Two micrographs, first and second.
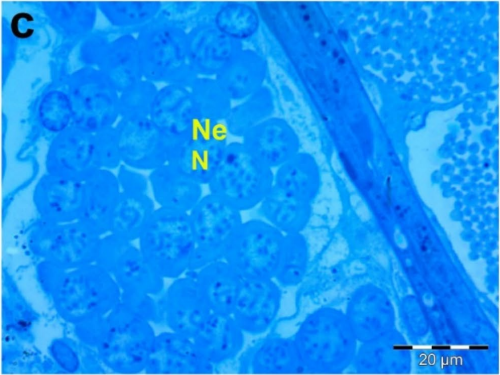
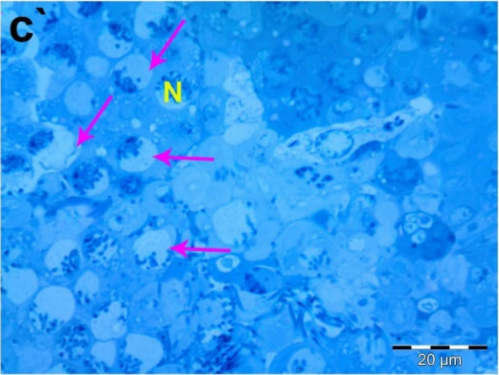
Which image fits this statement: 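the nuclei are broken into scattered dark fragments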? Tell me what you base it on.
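The second image. Second image: many cells hold several separate dark chromatin clumps in pale cytoplasm. First image: the cells have round, intact nuclei with clear outlines.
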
